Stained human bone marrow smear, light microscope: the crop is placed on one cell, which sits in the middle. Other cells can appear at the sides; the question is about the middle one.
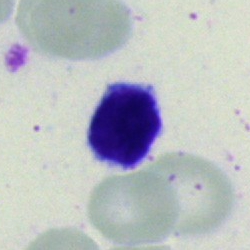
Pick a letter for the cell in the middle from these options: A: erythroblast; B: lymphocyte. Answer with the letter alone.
B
